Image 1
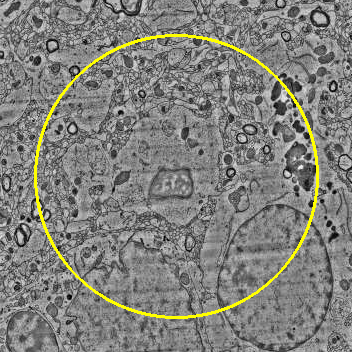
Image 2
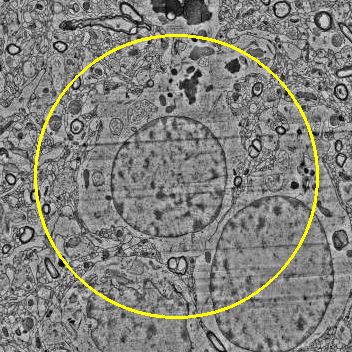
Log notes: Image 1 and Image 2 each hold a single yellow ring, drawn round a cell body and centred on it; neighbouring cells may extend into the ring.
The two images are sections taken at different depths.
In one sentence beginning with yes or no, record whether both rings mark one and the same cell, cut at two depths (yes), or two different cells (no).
Yes, each ring singles out the same cell.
